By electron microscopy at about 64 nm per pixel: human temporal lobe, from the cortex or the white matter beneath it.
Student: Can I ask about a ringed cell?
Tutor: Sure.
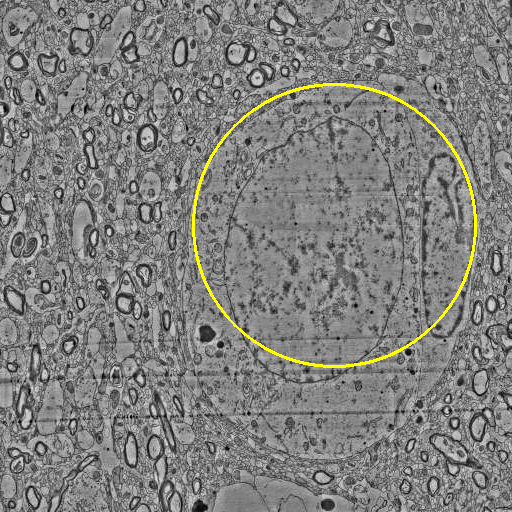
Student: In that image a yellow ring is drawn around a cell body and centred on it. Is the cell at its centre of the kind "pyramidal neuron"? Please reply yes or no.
Yes, the cell is of that kind.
